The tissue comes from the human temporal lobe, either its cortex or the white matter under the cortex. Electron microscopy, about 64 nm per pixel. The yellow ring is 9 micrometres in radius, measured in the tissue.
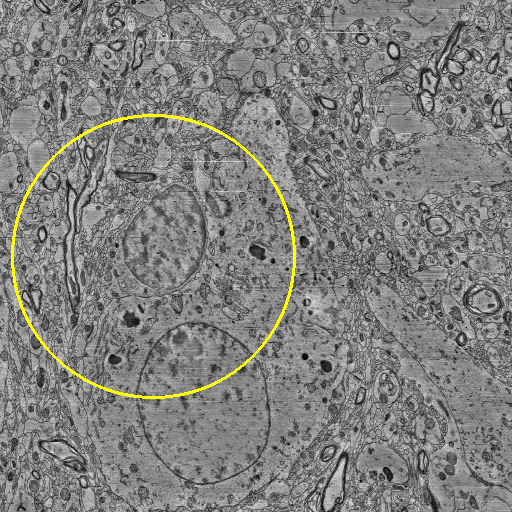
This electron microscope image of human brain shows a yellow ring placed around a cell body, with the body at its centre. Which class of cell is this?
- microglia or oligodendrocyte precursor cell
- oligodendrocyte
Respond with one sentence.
The cell body at the ring's centre is an oligodendrocyte.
